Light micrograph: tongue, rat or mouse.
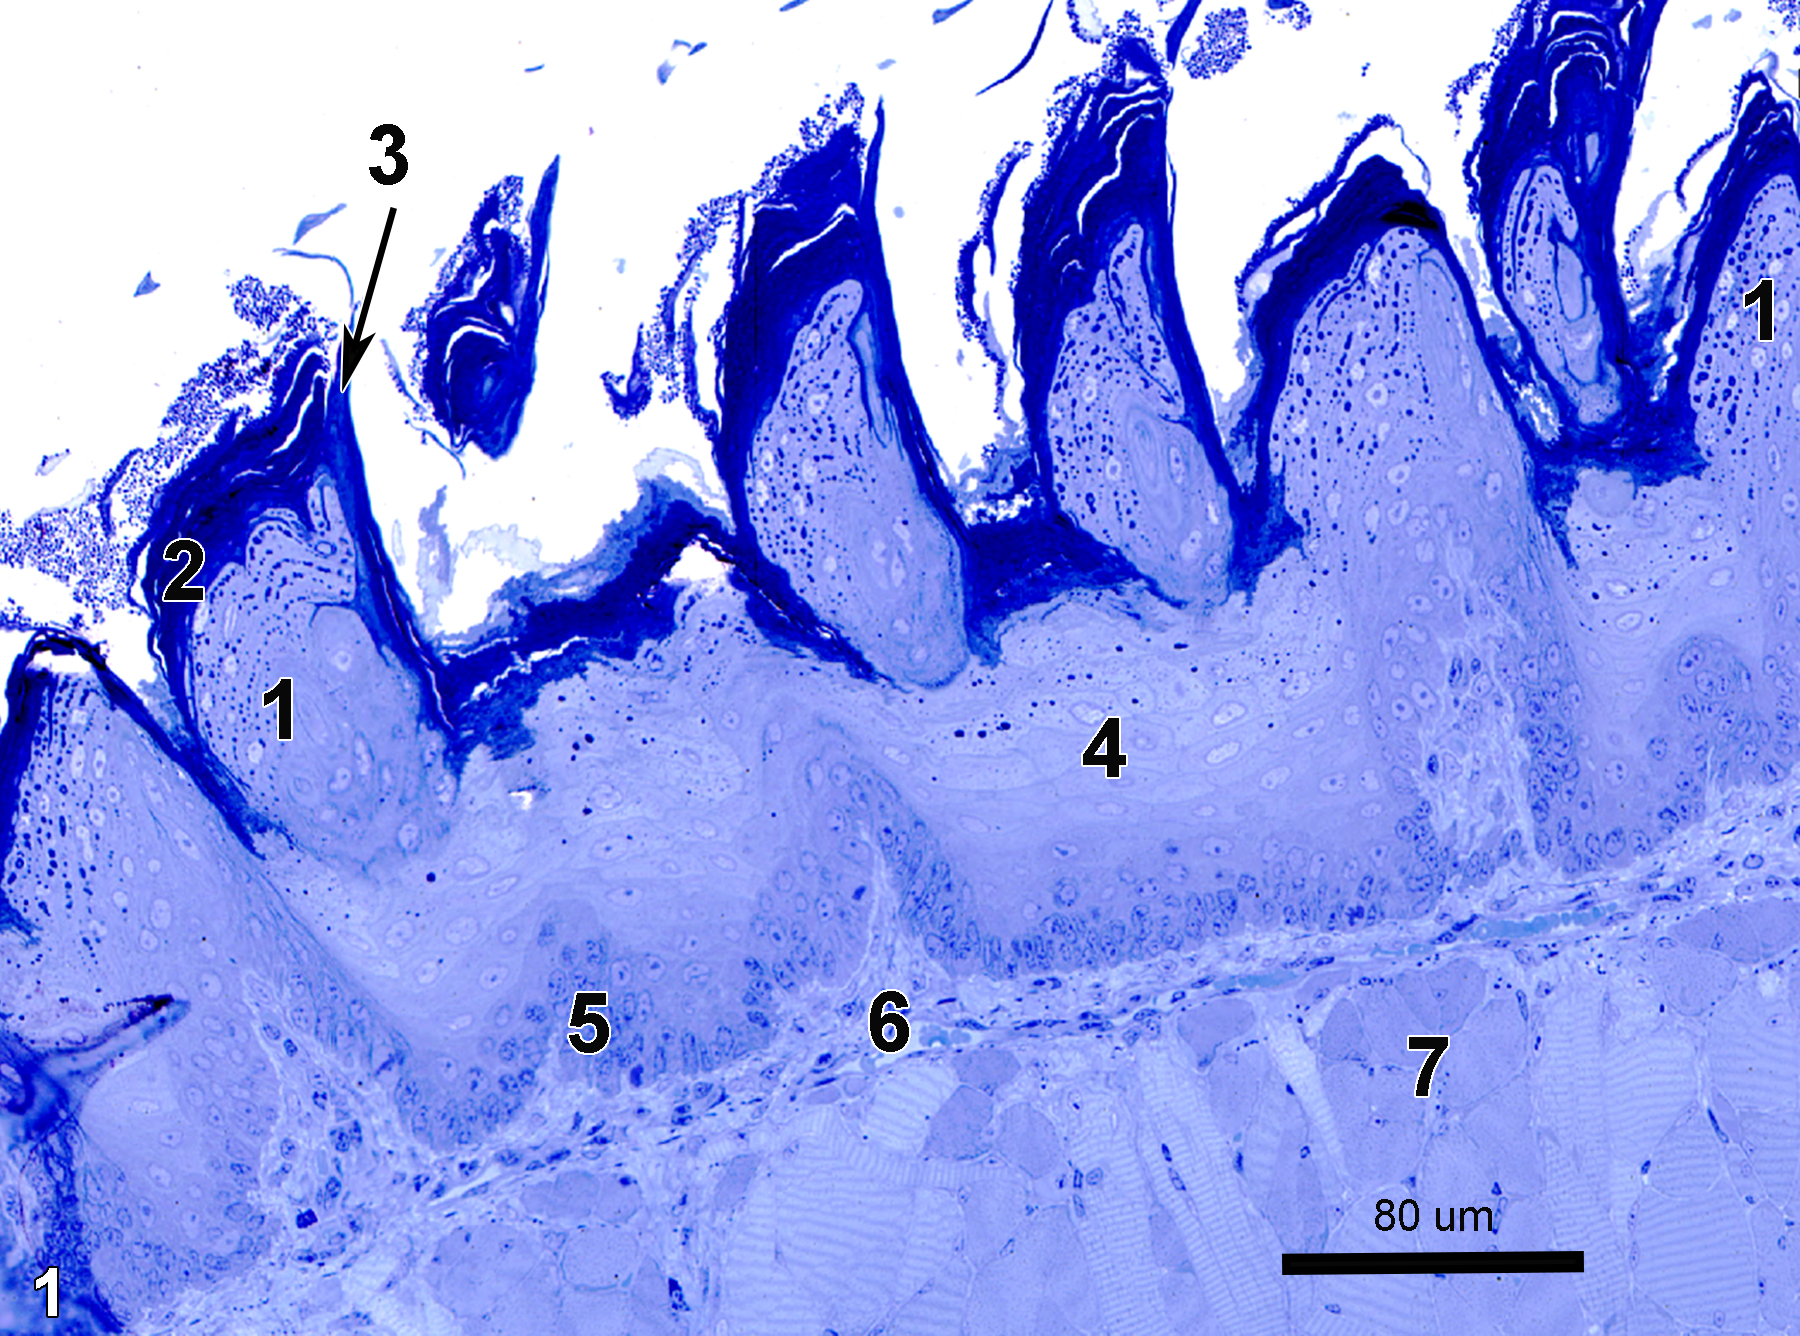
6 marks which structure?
The number 6 marks the lamina propria.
